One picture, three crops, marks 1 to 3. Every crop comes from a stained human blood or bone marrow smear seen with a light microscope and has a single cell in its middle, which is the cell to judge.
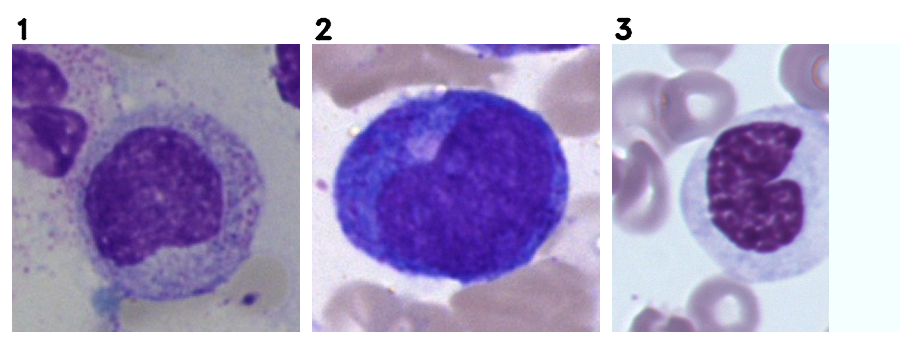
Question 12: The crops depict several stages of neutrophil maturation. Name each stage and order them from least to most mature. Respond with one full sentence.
The maturation order, from least to most mature, is crop 2 (a promyelocyte), crop 1 (a metamyelocyte) and crop 3 (a band neutrophil).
